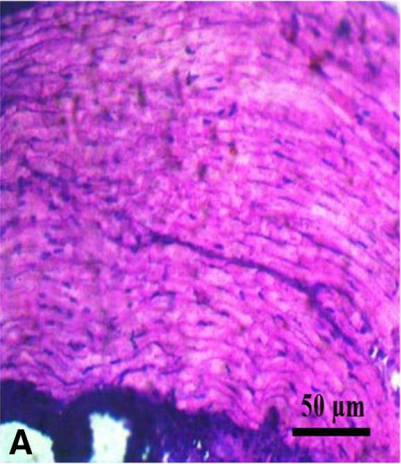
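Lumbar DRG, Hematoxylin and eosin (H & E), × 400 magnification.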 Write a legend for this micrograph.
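This section of a dorsal root ganglion shows tightly packed nerve fibres stained pink. The fibres run in parallel, gently wavy bands that sweep across the field. Small, elongated dark nuclei lie between the fibres, aligned with their course. The tissue is compact, with few gaps between the fibres. Along the lower edge lies a dense dark purple band with white spaces beneath it.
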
